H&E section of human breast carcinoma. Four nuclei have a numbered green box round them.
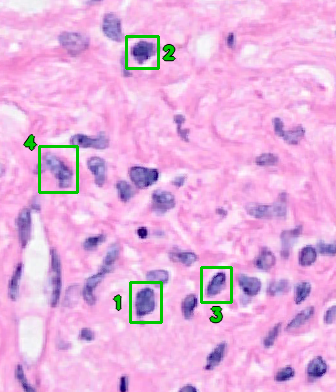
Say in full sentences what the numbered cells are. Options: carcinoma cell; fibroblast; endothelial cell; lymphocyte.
Cells 1, 2 and 3 are lymphocytes. Cell 4 is an endothelial cell.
